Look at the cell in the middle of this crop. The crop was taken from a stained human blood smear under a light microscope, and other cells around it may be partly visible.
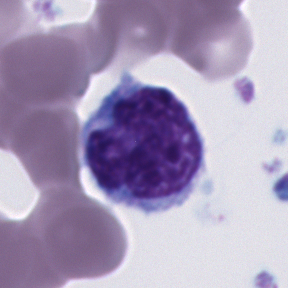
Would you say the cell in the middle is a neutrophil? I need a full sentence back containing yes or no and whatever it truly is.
No, not a neutrophil: the cell in the middle of this crop is a monocyte.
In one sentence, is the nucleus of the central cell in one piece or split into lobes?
The nuclear material is gathered into one compact round, oval or kidney-shaped mass.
